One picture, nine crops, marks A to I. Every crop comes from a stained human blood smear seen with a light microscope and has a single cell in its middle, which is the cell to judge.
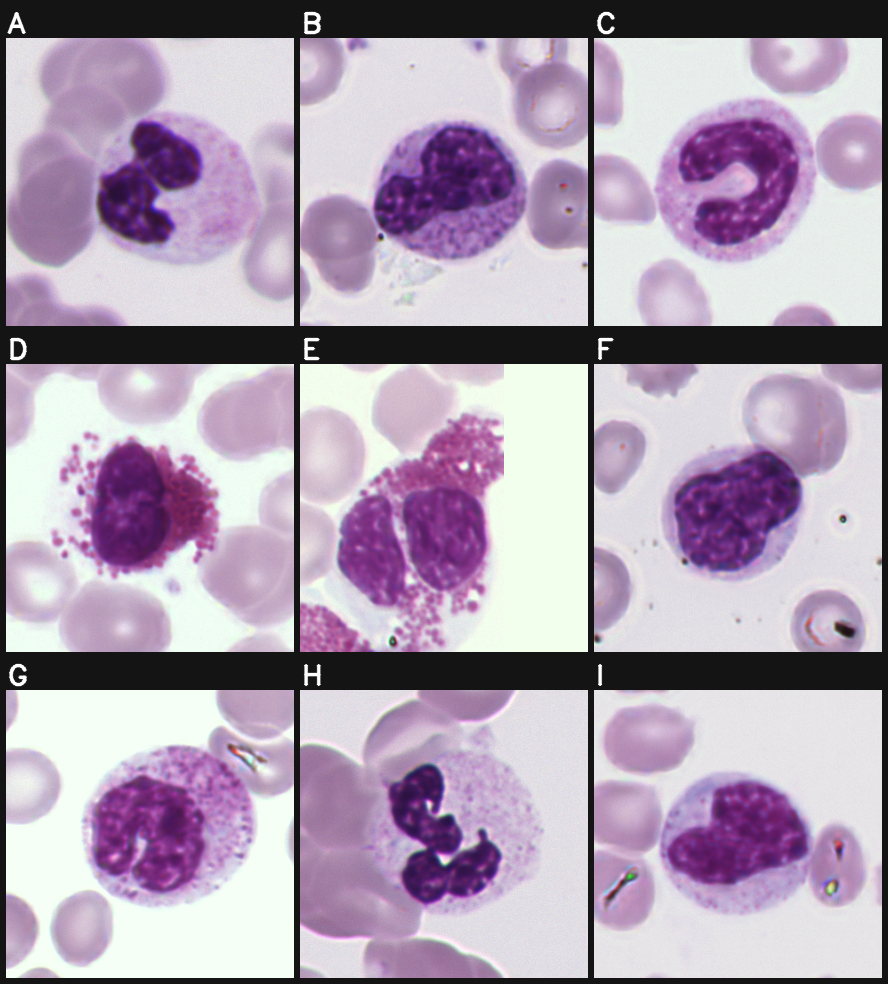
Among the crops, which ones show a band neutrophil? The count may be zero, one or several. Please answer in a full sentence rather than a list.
With regard to crops B, C and G, the central cells are band neutrophils.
